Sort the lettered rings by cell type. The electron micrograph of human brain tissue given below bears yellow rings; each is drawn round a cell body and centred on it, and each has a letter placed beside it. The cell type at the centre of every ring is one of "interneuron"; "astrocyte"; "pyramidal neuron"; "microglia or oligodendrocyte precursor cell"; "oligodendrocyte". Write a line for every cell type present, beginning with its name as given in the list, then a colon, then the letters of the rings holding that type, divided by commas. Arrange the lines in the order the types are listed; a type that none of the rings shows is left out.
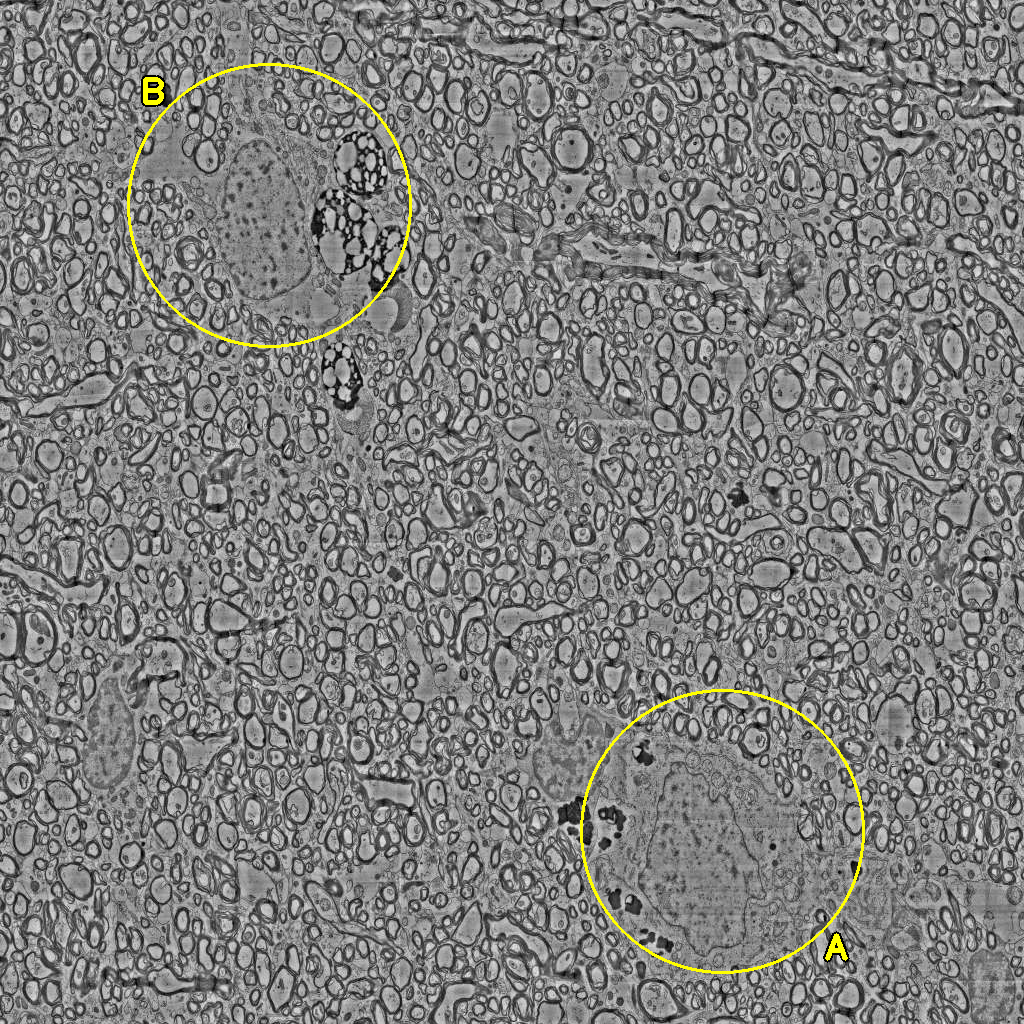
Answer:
astrocyte: B
pyramidal neuron: A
